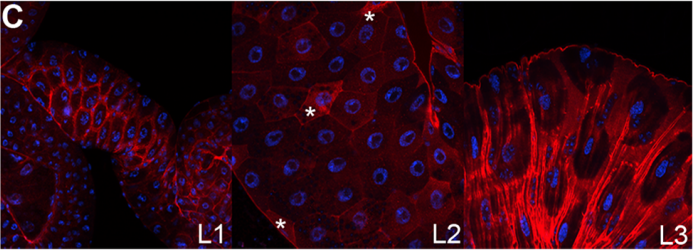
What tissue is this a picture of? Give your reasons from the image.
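A sheet of large polygonal epithelial cells with round nuclei. Cells line a tube-like structure. The answer: midintestine.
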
